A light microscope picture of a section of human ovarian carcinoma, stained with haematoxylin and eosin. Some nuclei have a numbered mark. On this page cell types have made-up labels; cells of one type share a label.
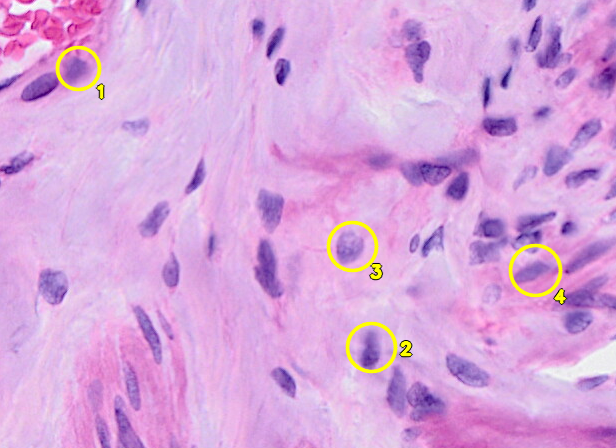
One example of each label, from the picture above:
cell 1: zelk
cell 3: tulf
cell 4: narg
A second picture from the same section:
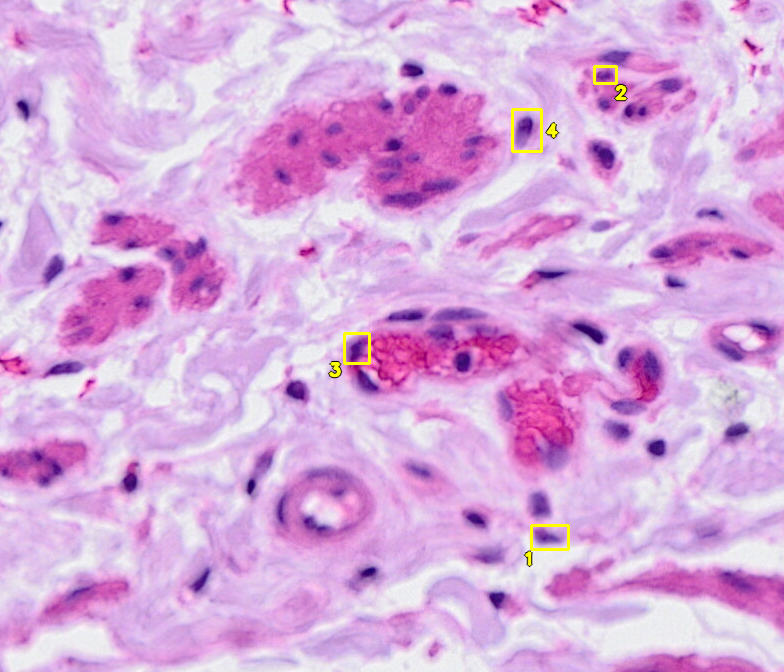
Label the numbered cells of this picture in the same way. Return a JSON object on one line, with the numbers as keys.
{"1": "tulf", "2": "narg", "3": "zelk", "4": "tulf"}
